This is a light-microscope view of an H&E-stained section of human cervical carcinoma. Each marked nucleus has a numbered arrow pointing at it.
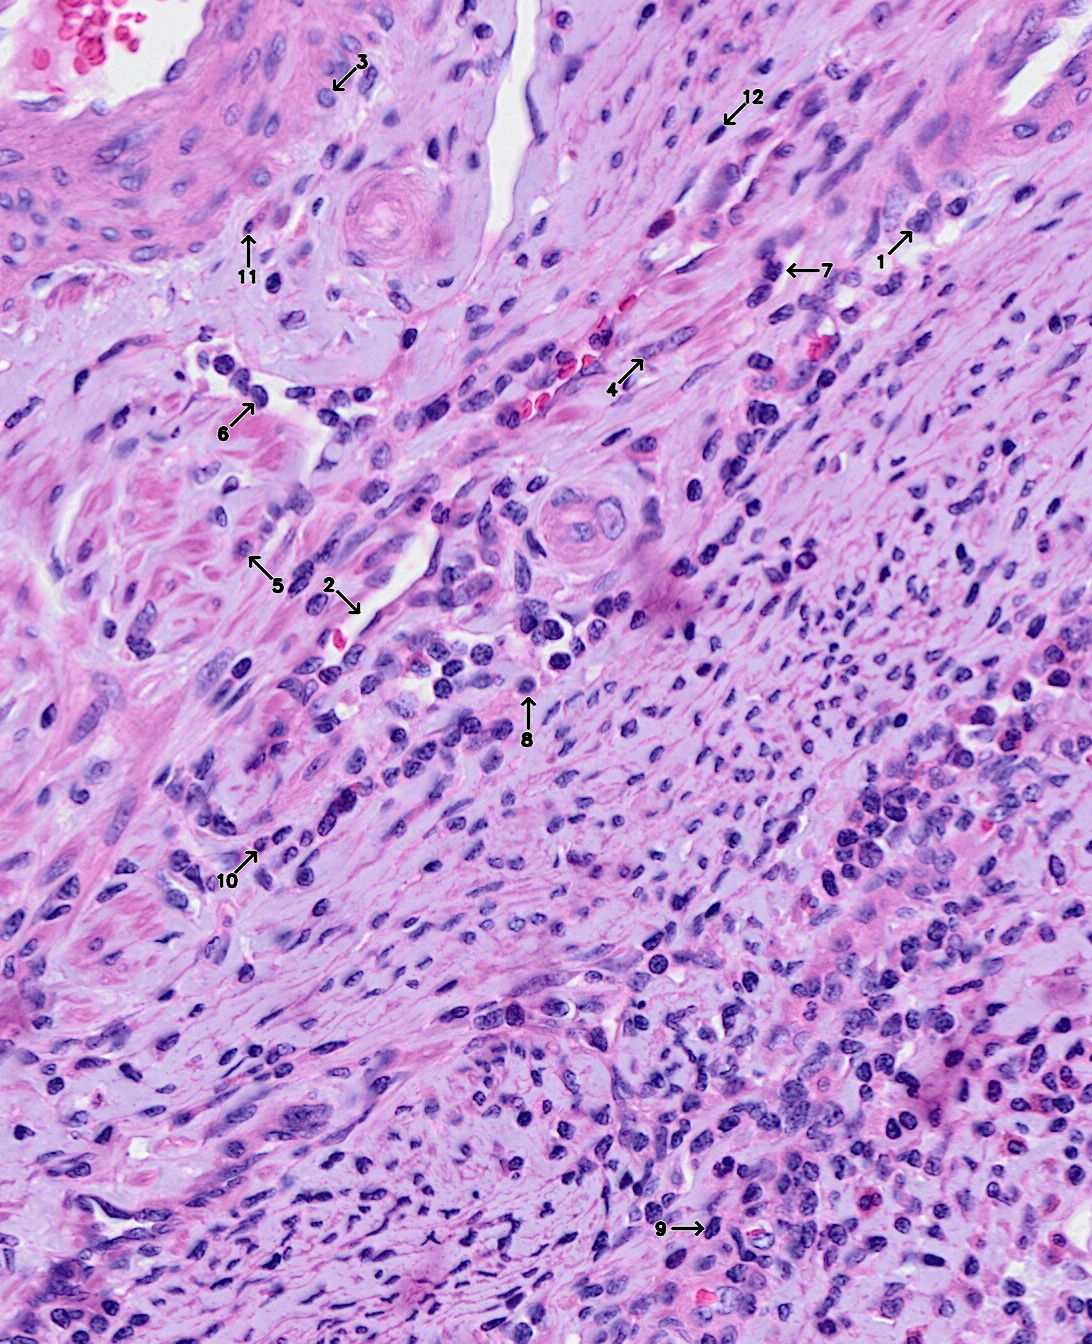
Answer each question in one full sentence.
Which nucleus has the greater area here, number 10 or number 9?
Of the two, number 9 is bigger and takes up about 2 times the area of number 10.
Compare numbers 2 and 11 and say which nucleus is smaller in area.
Nucleus 11 covers less area, with nucleus 2 about 1.5 times as large.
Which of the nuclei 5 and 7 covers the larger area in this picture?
Nucleus 7 covers more area, about 1.5 times as much as nucleus 5.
